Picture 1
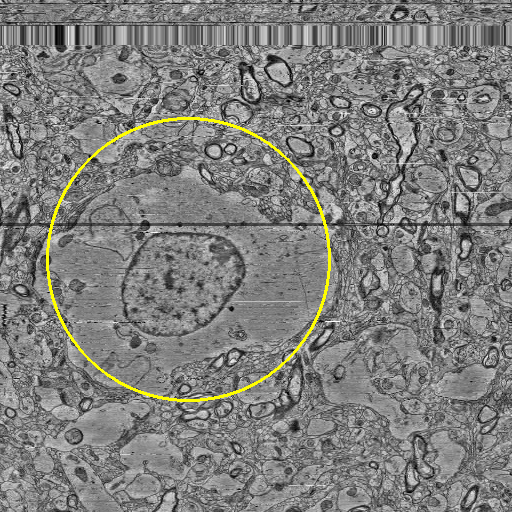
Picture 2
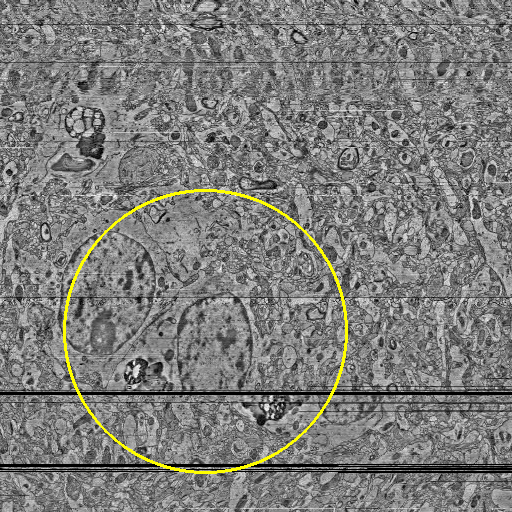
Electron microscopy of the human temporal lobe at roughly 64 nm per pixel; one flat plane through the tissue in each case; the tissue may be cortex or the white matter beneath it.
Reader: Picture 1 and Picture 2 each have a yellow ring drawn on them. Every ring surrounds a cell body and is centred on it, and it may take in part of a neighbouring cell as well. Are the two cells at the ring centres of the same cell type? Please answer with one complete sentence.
Yes, both cells are of the same cell type.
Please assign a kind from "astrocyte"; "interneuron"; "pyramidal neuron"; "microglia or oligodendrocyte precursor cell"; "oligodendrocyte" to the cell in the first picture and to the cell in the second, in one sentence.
Each of the ringed cells, first and second, is an astrocyte.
